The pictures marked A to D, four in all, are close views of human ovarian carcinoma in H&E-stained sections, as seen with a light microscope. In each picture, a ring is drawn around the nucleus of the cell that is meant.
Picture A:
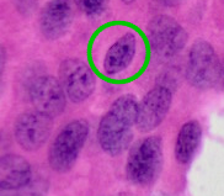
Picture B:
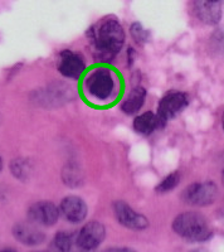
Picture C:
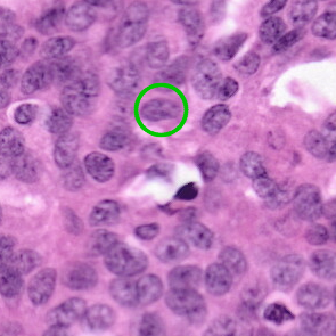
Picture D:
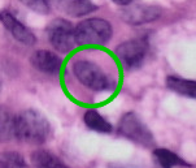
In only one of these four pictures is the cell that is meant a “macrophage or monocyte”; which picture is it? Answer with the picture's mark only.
A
